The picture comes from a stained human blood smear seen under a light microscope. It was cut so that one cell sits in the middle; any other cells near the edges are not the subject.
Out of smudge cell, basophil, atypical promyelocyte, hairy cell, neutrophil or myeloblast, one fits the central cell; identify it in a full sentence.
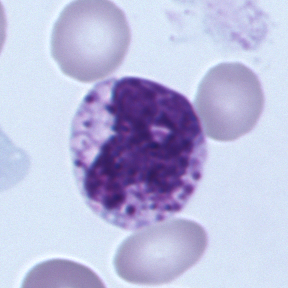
In the center of this field lies a basophil.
